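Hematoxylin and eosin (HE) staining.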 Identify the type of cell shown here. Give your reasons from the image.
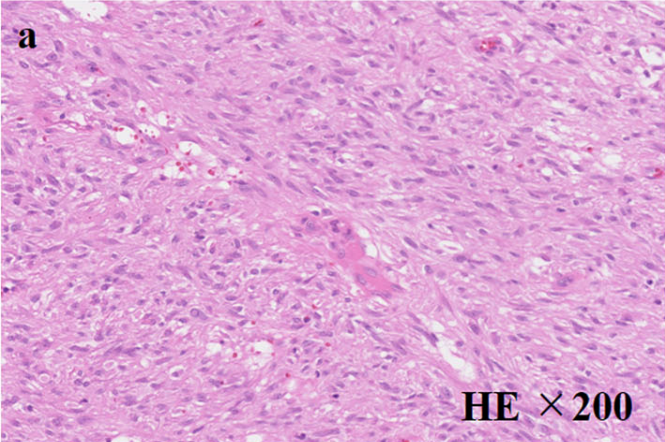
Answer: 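Densely packed cells with elongated, oval to spindle nuclei. Cells arranged in interlacing fascicles. Pink fibrillary cytoplasm with indistinct cell borders. So: spindle-shaped tumor cells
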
